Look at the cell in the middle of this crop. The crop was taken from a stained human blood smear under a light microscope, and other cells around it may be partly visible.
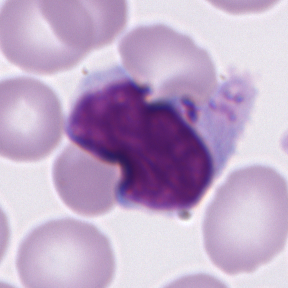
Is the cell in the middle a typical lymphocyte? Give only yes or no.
no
